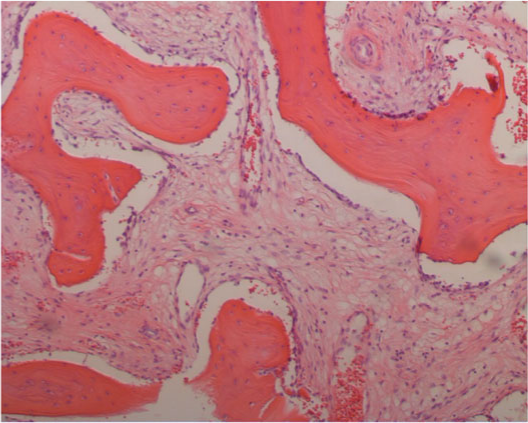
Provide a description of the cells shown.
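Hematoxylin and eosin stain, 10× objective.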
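This section of bone shows thick, irregular, branching bony trabeculae of bright pink, homogeneous matrix, with small dark osteocyte nuclei lying in lacunae throughout. The spaces between the trabeculae do not hold normal fatty or blood-forming marrow; instead they are filled with loose to moderately dense pale fibrous tissue rich in elongated spindle-shaped nuclei, with a few small round dark nuclei scattered among them. Small blood vessels and patches of red blood cells lie within this fibrous stroma.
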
